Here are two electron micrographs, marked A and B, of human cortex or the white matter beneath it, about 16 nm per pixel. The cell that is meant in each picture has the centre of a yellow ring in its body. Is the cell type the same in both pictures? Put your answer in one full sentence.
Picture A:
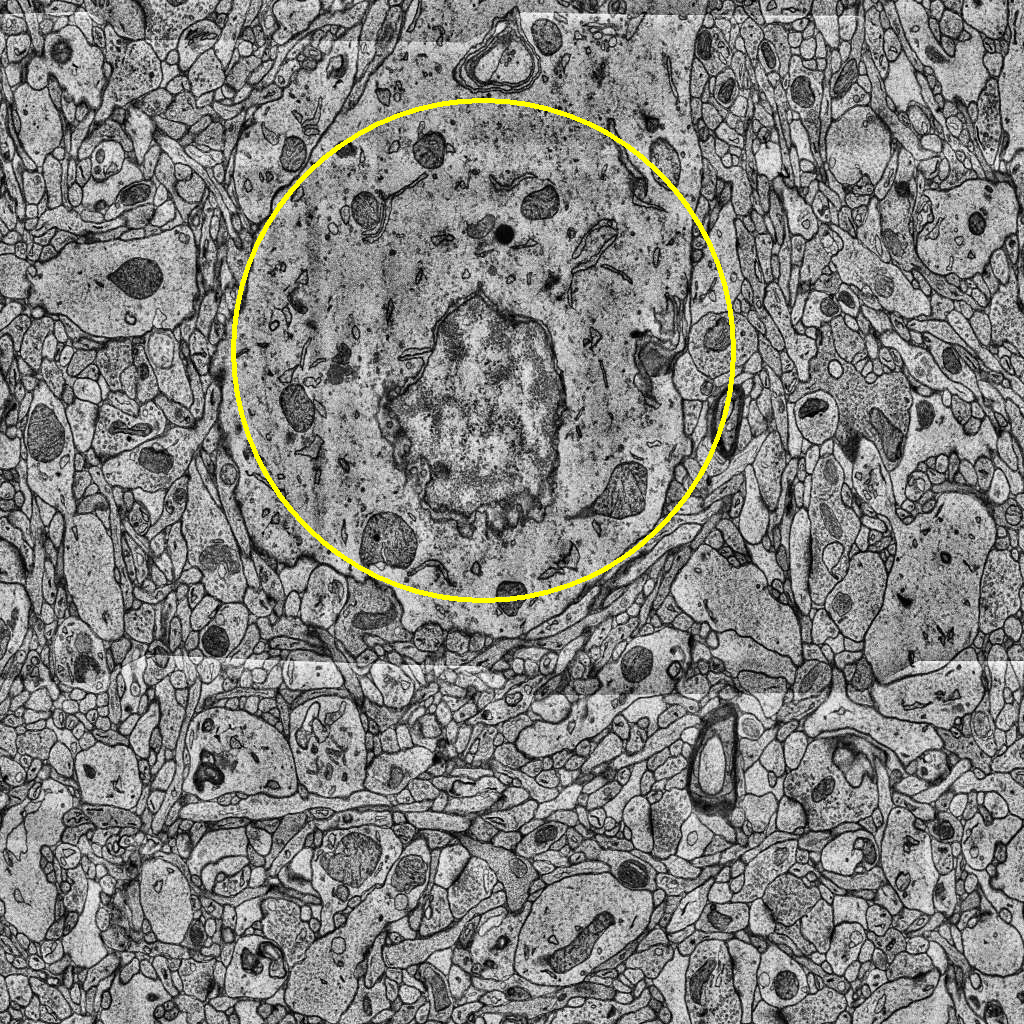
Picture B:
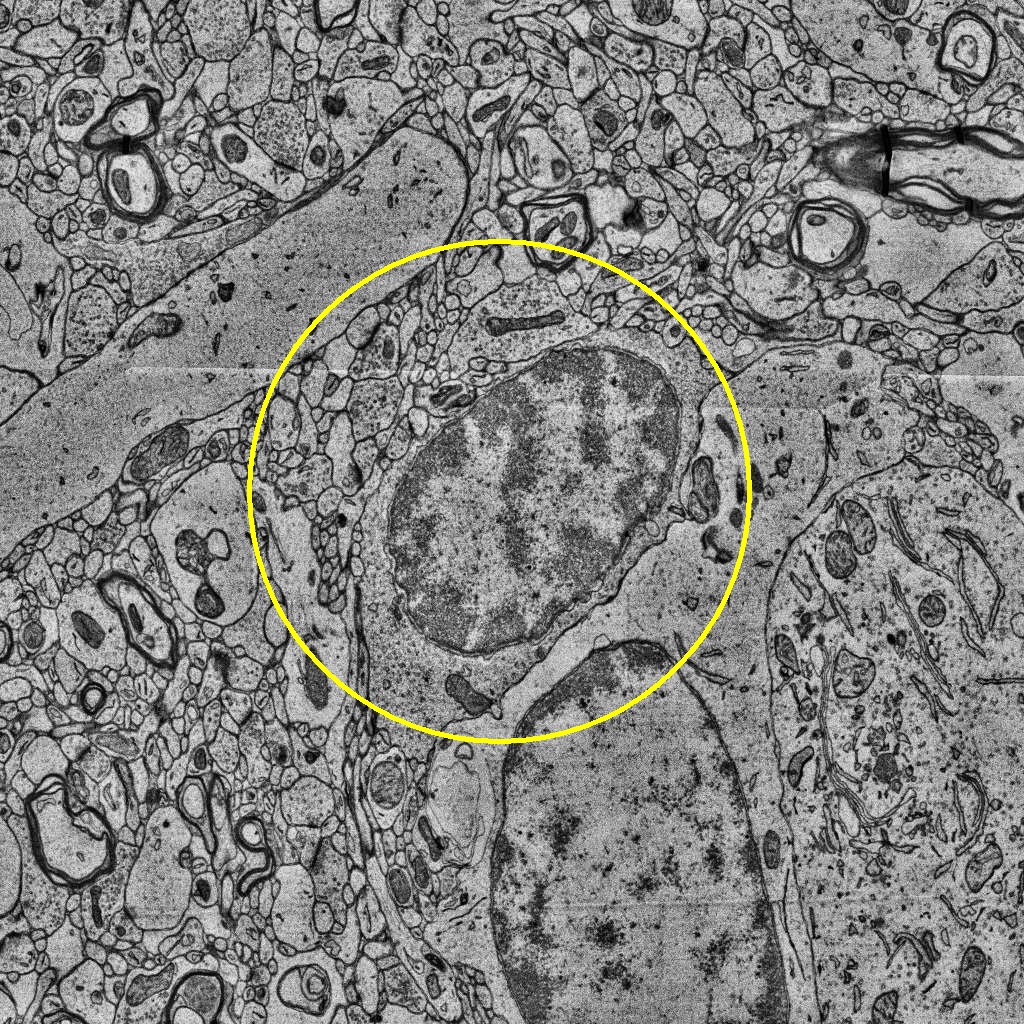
No, they differ: the cell is a pyramidal neuron in picture A and an oligodendrocyte in picture B.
